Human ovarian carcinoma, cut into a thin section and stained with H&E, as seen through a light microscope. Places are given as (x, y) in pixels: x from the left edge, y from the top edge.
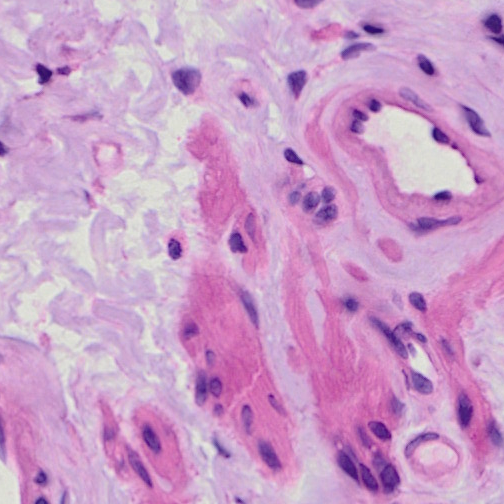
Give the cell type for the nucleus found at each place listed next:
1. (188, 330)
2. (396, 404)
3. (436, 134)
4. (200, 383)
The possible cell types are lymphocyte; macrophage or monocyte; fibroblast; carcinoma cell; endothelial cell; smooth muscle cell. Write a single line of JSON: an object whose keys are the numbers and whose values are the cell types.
{"1": "smooth muscle cell", "2": "smooth muscle cell", "3": "endothelial cell", "4": "smooth muscle cell"}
